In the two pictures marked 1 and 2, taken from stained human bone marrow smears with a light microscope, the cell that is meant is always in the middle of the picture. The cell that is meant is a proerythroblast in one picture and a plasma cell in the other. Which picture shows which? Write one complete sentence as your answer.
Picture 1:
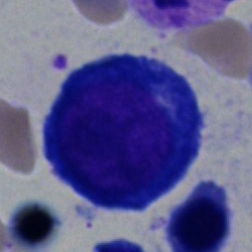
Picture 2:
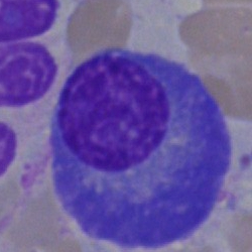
In picture 1 the cell is a proerythroblast; in picture 2, a plasma cell.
